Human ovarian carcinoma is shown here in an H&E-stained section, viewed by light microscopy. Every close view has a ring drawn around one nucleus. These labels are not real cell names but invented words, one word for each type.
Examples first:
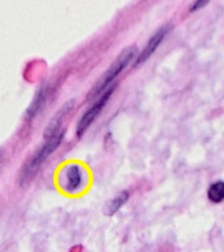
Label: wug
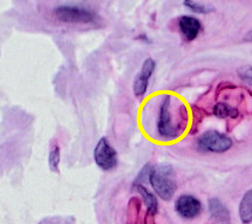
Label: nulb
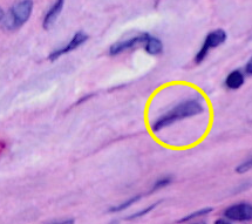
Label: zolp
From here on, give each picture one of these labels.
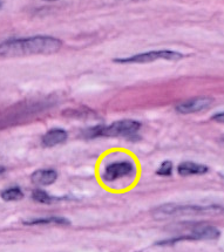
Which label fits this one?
wug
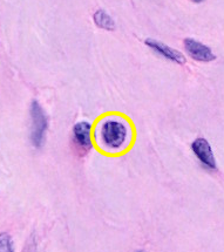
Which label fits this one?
wug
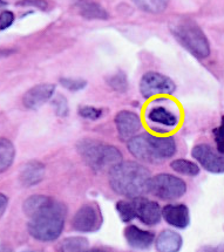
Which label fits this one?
wug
